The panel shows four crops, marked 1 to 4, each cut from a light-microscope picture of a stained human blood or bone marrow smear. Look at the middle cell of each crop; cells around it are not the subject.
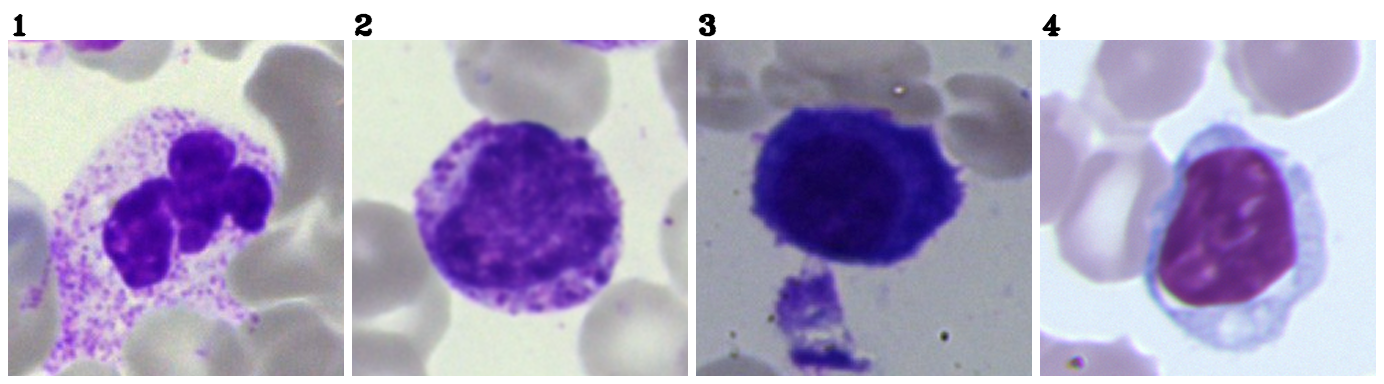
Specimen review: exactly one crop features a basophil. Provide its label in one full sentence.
Of all the crops, crop 2 is the one showing a basophil.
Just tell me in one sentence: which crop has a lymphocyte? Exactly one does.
The crop showing a lymphocyte in this series is crop 4.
